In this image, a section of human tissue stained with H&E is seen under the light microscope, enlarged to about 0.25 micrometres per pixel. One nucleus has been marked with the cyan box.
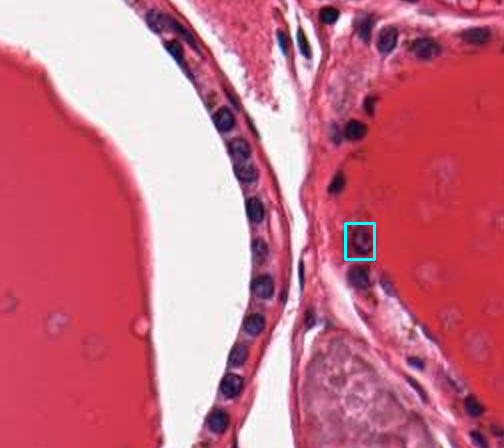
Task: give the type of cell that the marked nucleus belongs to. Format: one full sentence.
The marked nucleus is identified as belonging to a thyroid follicular cell.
